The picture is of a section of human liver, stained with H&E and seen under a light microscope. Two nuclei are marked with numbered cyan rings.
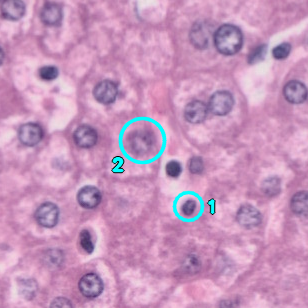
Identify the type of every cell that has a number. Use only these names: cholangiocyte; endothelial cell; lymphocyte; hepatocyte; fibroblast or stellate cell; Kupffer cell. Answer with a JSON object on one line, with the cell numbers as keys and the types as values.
{"1": "lymphocyte", "2": "hepatocyte"}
